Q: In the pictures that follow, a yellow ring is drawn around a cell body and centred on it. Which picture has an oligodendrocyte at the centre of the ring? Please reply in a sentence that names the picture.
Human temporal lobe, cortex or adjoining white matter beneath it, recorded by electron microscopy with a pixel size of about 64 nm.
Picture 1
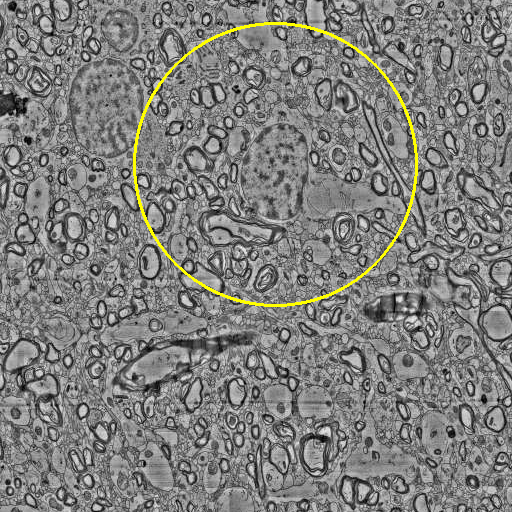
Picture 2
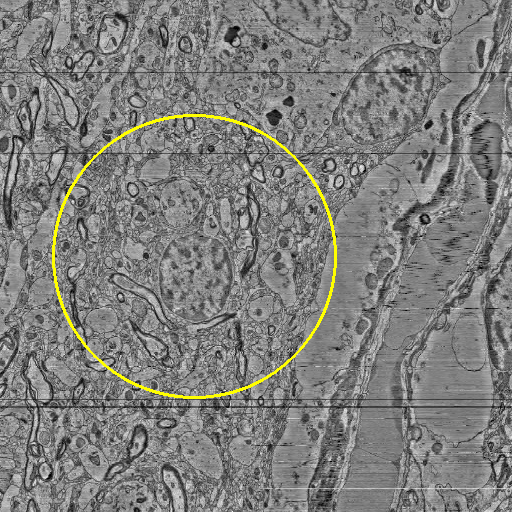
Picture 2 shows it at the centre of its ring.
